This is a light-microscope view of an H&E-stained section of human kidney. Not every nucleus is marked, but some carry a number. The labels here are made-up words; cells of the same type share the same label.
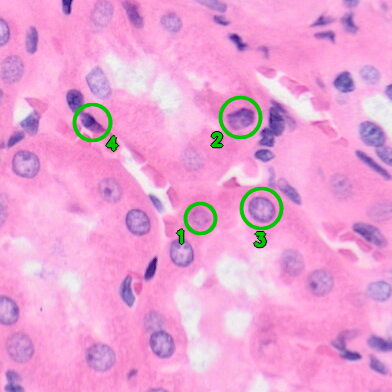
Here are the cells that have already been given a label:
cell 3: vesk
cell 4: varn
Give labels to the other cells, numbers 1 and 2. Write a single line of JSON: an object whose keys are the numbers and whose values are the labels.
{"1": "vesk", "2": "vesk"}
